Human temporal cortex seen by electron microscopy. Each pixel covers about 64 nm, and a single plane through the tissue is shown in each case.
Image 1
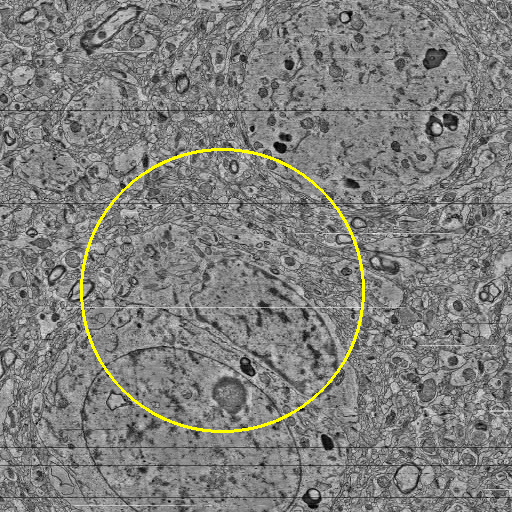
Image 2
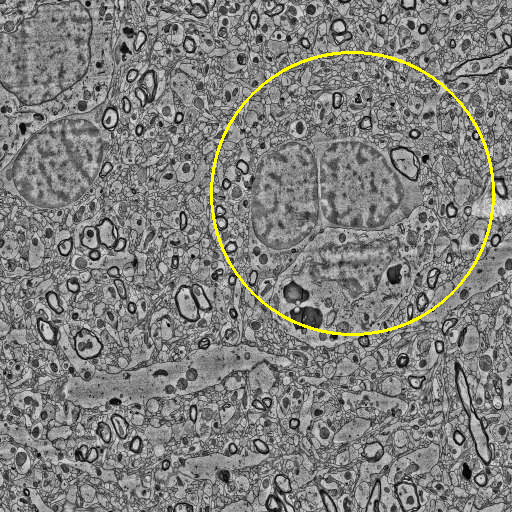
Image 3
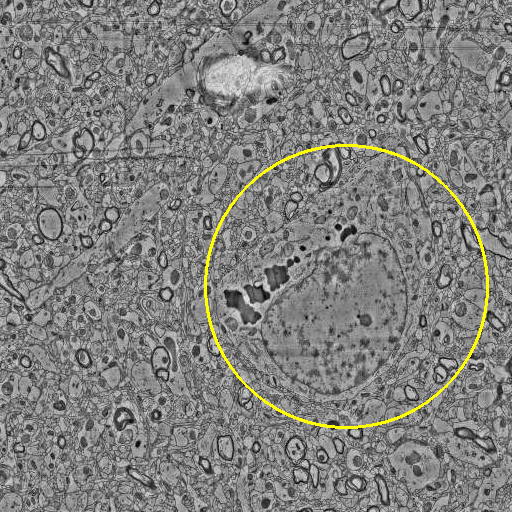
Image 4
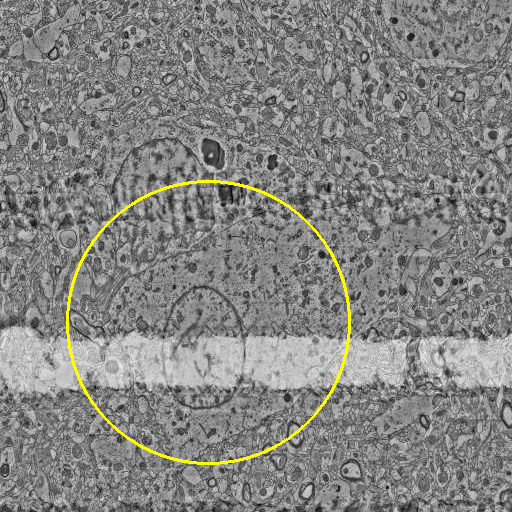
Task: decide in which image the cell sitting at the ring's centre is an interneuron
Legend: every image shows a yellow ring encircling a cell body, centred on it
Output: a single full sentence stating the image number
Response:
In image 3, the cell at the middle of the ring is the match.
